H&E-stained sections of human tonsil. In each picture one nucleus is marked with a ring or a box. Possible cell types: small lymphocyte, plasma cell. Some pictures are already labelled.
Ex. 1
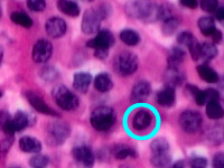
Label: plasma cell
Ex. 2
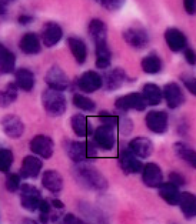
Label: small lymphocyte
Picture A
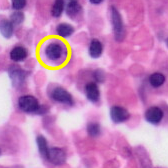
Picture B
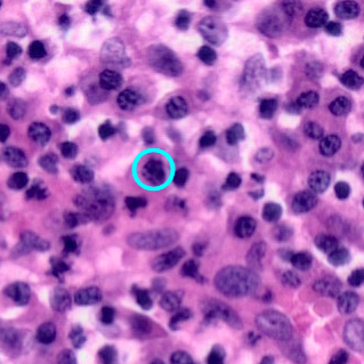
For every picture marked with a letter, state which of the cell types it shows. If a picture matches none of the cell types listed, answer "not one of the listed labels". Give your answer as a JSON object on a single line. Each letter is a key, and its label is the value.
{"A": "plasma cell", "B": "plasma cell"}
